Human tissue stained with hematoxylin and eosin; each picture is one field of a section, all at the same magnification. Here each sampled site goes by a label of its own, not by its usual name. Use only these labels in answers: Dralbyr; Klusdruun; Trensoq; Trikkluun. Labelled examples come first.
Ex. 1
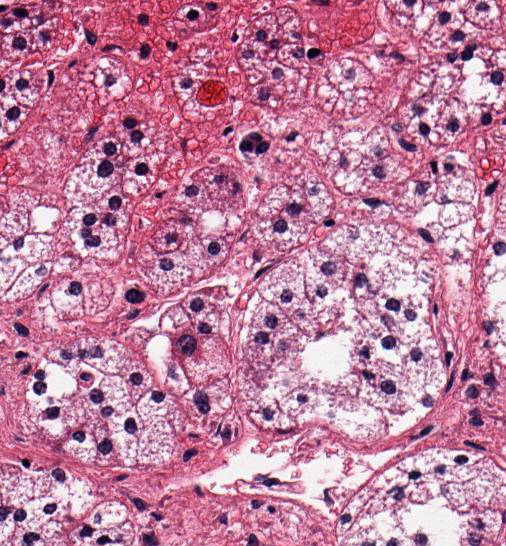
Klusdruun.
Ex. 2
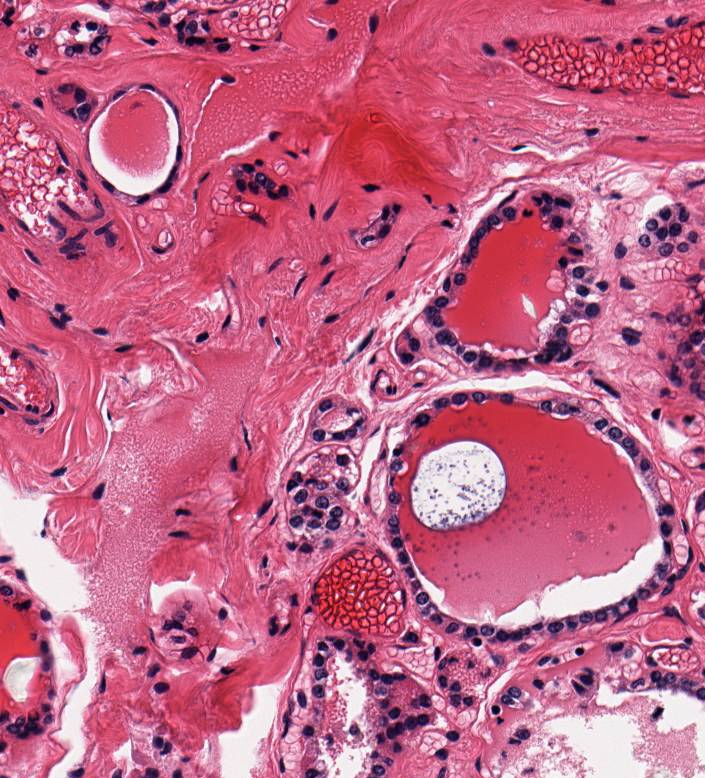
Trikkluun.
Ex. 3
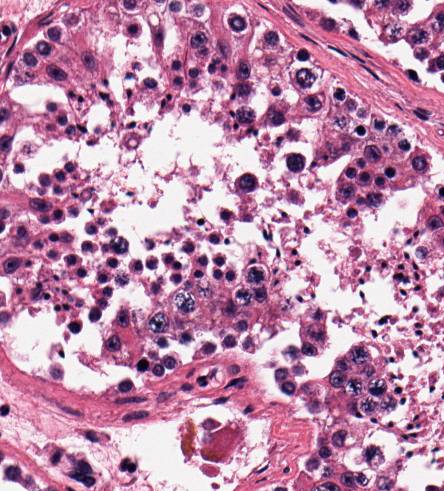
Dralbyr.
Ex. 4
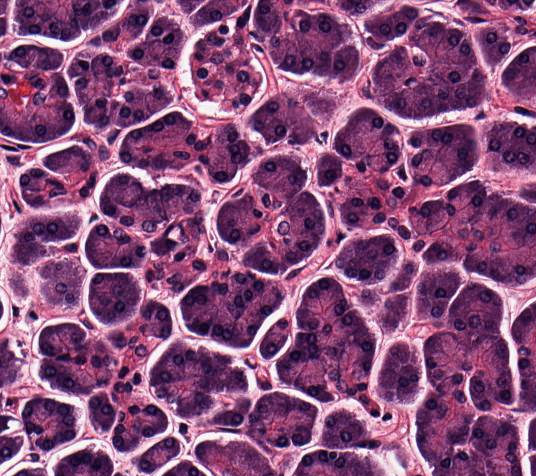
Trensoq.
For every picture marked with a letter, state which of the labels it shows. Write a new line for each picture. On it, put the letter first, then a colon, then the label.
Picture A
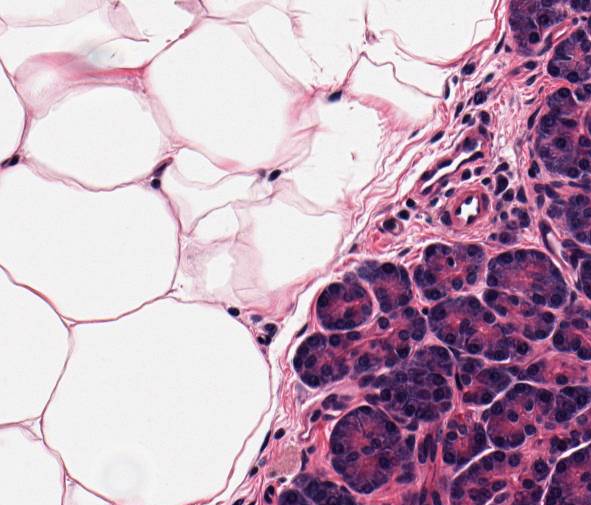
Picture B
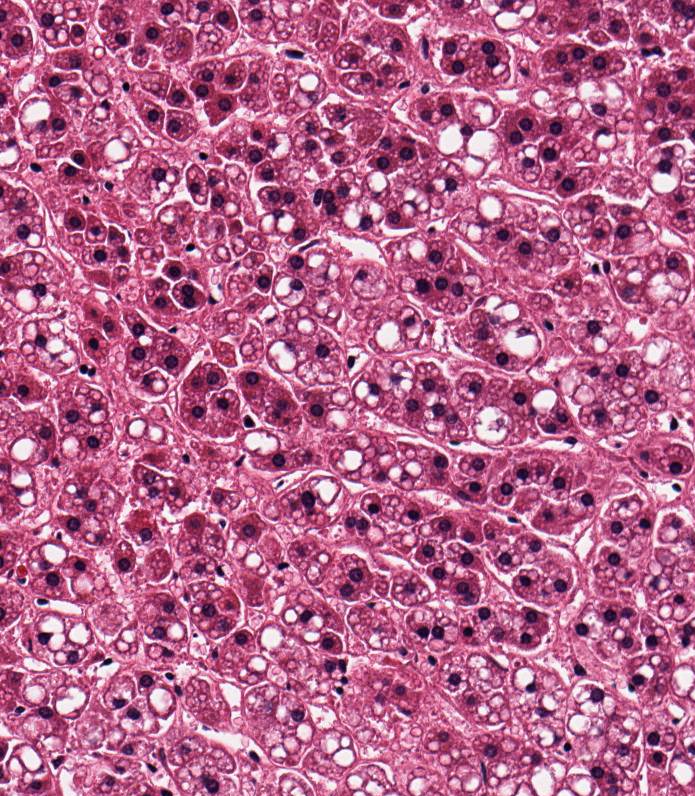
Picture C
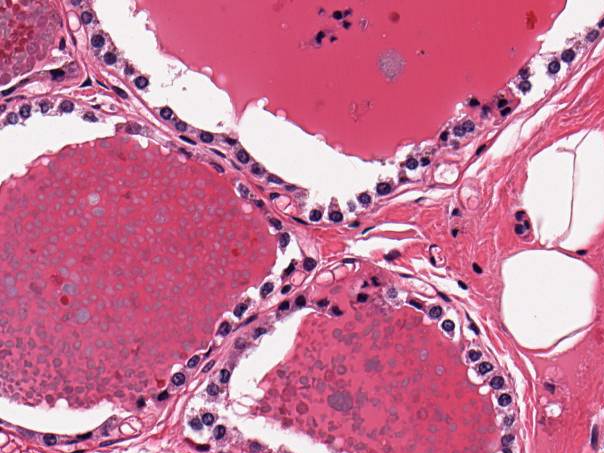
A: Trensoq.
B: Klusdruun.
C: Trikkluun.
